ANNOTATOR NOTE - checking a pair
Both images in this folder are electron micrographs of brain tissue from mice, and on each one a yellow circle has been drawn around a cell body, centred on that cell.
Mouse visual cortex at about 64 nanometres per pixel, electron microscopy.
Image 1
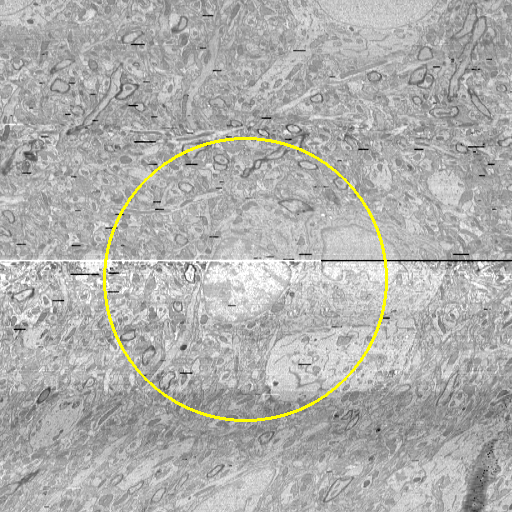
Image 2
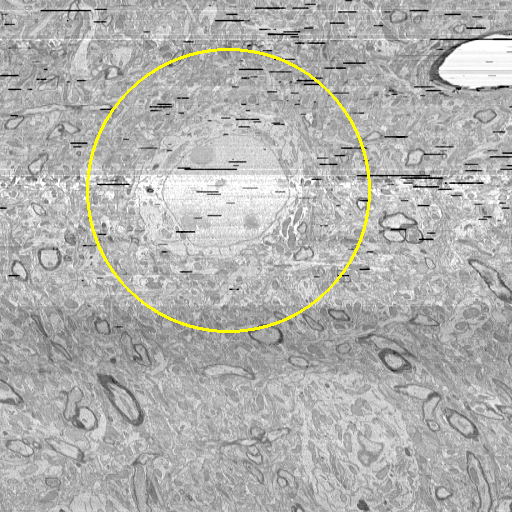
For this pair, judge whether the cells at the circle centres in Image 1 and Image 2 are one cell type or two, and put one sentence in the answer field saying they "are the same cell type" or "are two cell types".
For this pair, the cells at the circle centres in Images 1 and 2 are two cell types.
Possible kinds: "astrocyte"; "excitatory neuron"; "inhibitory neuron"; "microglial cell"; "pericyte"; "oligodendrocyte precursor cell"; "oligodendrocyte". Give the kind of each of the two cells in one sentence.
The cell in the second picture is an excitatory neuron, and that in the first is an oligodendrocyte.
